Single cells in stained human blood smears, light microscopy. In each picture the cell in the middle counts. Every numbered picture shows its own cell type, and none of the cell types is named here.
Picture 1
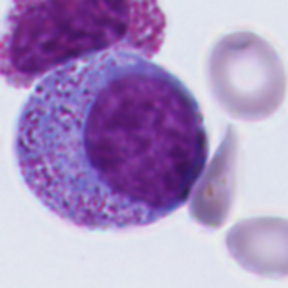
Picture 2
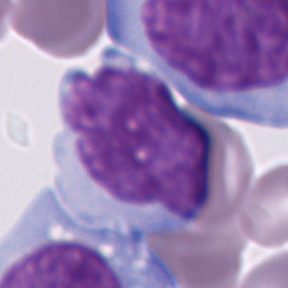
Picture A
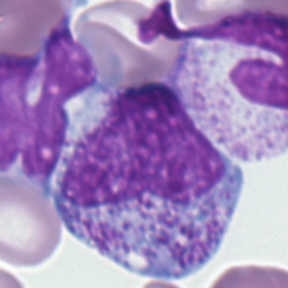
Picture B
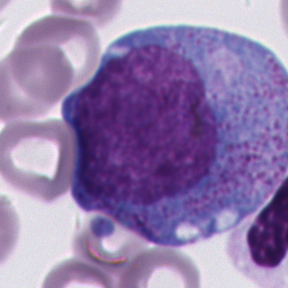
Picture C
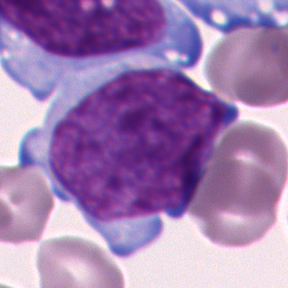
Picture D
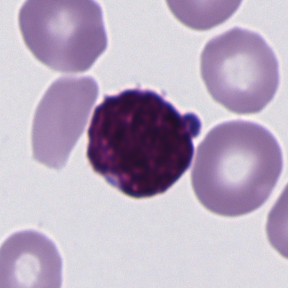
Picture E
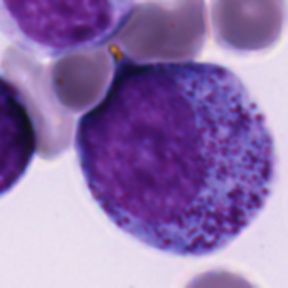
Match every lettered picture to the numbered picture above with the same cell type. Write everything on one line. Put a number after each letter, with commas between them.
A 1, B 1, C 2, D 2, E 1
